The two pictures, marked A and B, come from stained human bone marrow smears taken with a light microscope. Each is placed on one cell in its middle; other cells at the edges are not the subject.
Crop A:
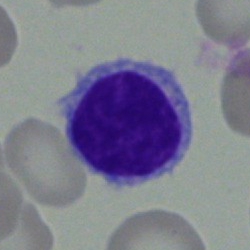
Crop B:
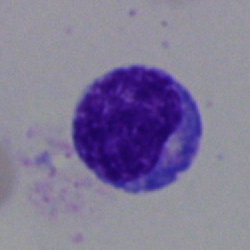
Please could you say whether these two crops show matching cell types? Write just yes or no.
no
